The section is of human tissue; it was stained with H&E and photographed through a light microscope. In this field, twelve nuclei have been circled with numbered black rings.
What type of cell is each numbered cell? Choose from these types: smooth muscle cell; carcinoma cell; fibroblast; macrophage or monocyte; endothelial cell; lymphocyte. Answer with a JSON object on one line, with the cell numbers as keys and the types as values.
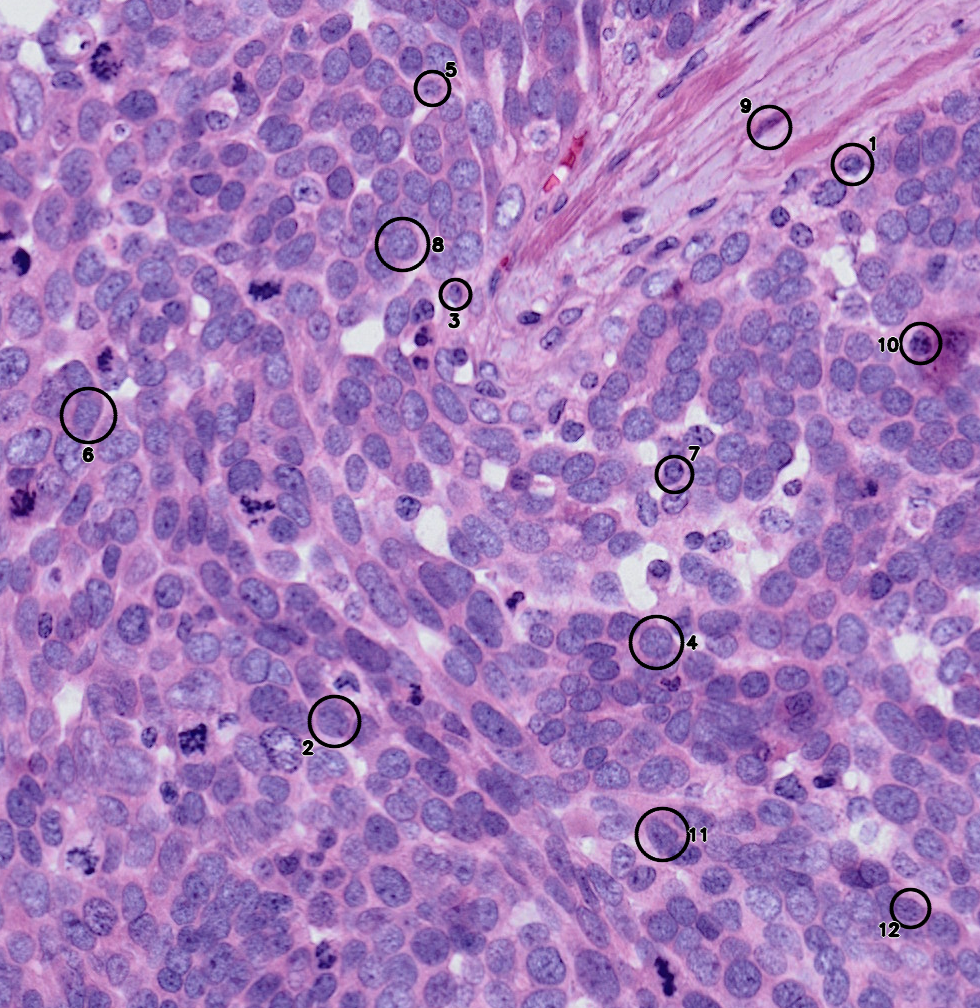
{"1": "macrophage or monocyte", "2": "carcinoma cell", "3": "macrophage or monocyte", "4": "carcinoma cell", "5": "macrophage or monocyte", "6": "carcinoma cell", "7": "macrophage or monocyte", "8": "carcinoma cell", "9": "fibroblast", "10": "lymphocyte", "11": "carcinoma cell", "12": "carcinoma cell"}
